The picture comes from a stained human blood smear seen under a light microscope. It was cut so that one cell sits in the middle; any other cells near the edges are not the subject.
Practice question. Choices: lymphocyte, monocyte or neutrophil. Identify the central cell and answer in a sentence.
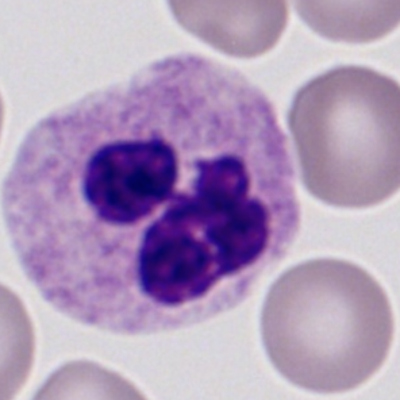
The cell at the middle of the frame should be recorded as a neutrophil.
